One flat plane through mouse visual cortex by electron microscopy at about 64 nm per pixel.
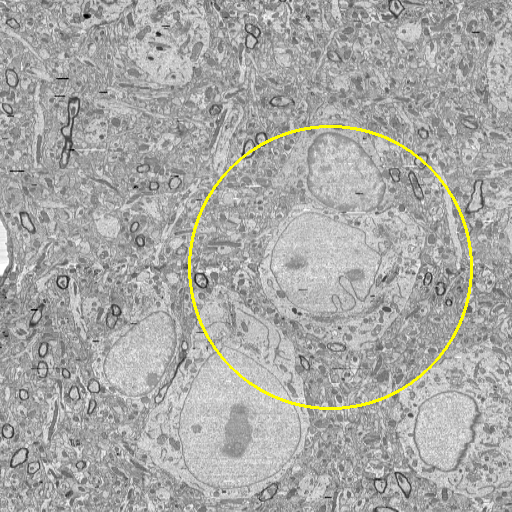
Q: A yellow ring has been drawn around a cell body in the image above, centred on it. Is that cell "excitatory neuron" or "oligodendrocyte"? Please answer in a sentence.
The ring surrounds the cell body of an excitatory neuron.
